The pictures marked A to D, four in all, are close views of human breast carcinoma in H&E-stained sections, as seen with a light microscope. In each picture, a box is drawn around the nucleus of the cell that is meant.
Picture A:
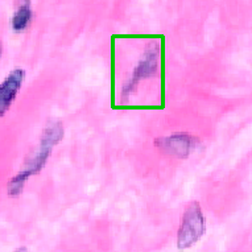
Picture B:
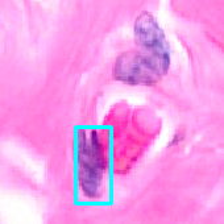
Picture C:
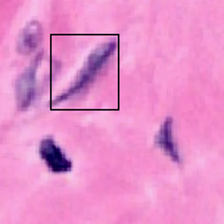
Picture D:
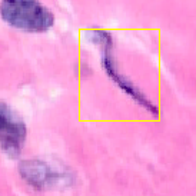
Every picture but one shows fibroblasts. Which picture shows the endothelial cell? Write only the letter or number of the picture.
B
